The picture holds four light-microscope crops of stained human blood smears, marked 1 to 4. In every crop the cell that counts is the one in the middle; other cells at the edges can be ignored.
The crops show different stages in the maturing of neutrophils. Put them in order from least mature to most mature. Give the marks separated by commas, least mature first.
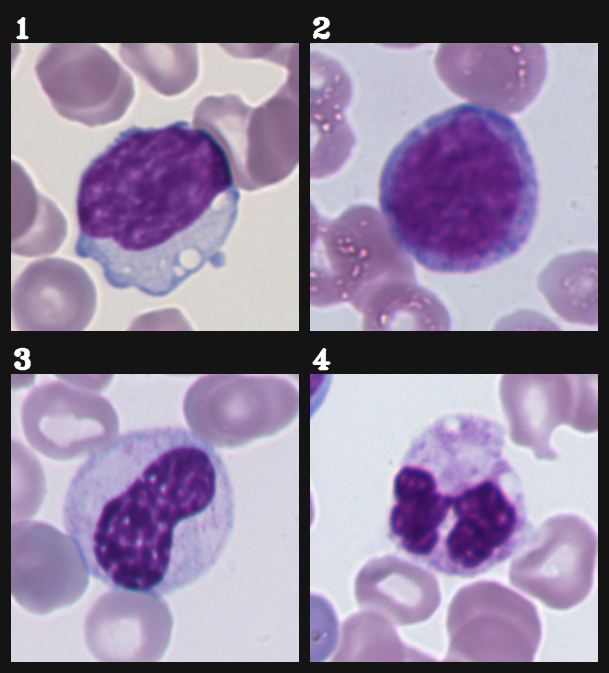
1, 2, 3, 4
